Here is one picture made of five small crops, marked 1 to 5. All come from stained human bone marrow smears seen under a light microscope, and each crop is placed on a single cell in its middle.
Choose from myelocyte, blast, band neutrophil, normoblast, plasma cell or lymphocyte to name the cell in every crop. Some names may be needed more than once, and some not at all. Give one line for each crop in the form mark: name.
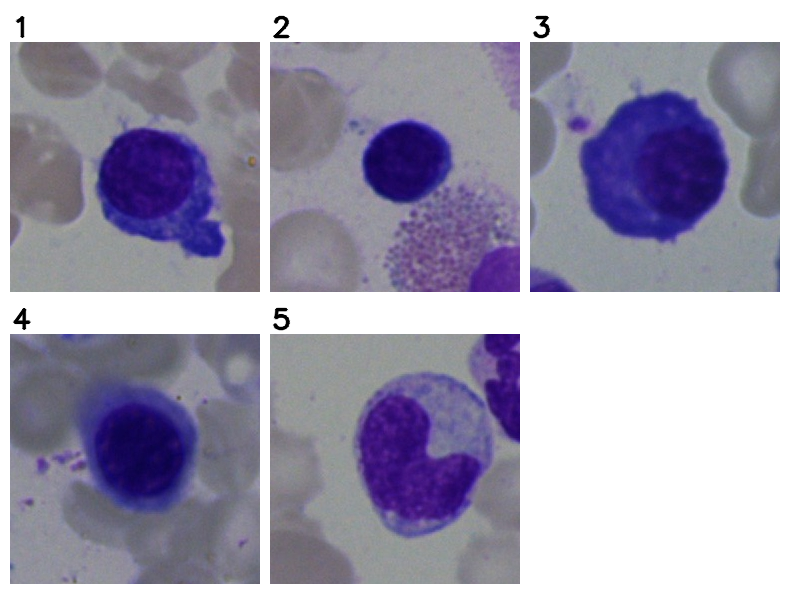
1: plasma cell
2: lymphocyte
3: plasma cell
4: normoblast
5: band neutrophil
